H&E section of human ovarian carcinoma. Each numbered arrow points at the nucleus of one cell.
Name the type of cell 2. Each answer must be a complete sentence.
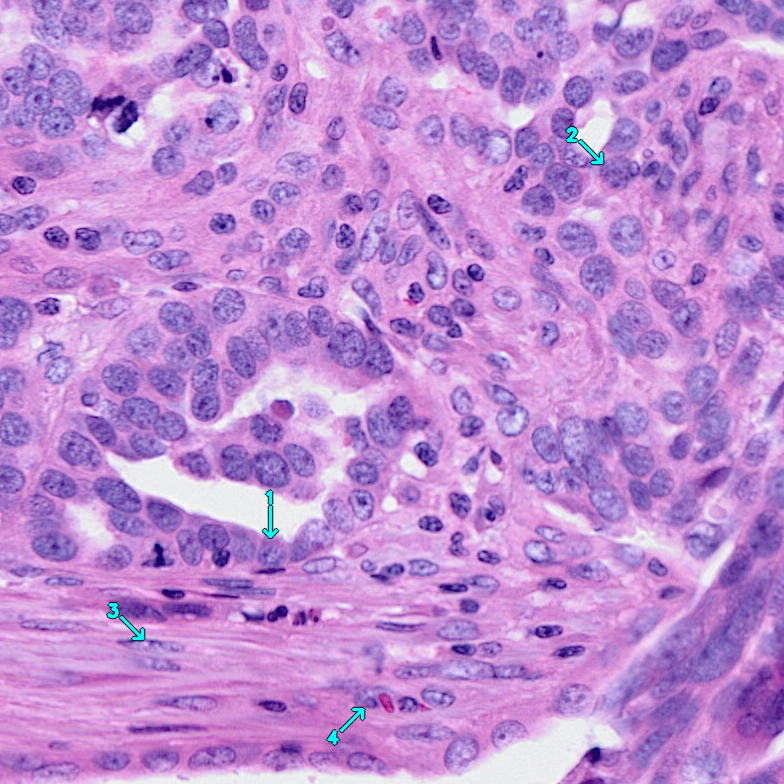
The cell to which the number 2 is assigned is a carcinoma cell.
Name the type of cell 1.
The cell that goes by number 1 is a carcinoma cell.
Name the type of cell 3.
The correct answer for cell 3 is a fibroblast.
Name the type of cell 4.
Recognised here as an endothelial cell is the cell numbered 4.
